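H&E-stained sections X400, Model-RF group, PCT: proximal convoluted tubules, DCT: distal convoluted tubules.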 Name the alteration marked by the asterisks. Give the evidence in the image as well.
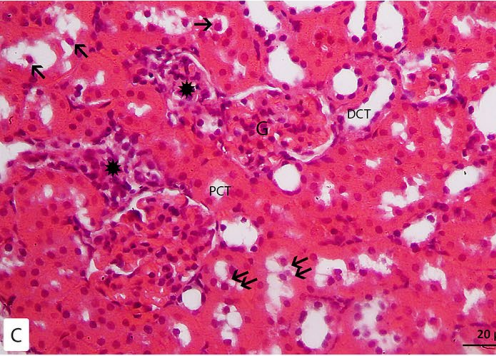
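The asterisks lie on dense clusters of small dark round nuclei. The clusters sit among tubules beside glomeruli.
Mononuclear cell infiltration.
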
